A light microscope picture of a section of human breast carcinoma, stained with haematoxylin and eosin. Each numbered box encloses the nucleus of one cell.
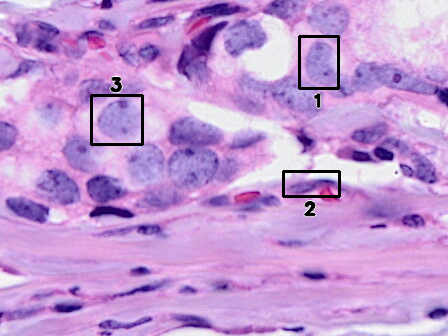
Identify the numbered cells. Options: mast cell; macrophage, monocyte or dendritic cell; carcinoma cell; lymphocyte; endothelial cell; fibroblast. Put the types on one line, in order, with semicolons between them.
carcinoma cell; endothelial cell; carcinoma cell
